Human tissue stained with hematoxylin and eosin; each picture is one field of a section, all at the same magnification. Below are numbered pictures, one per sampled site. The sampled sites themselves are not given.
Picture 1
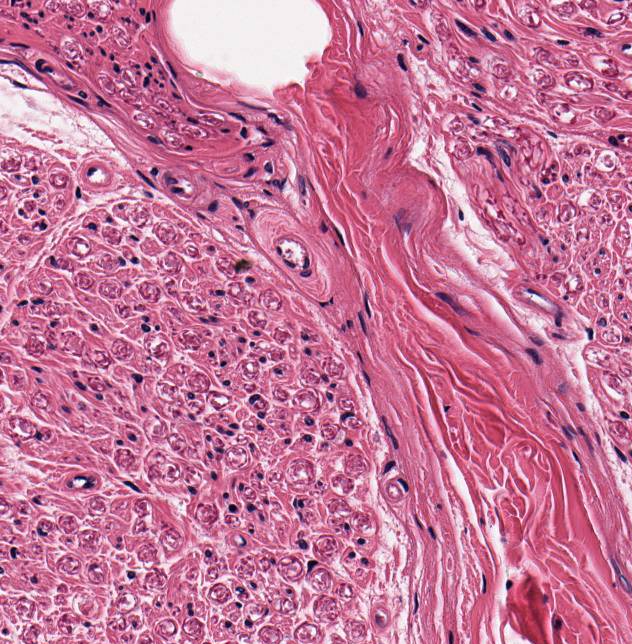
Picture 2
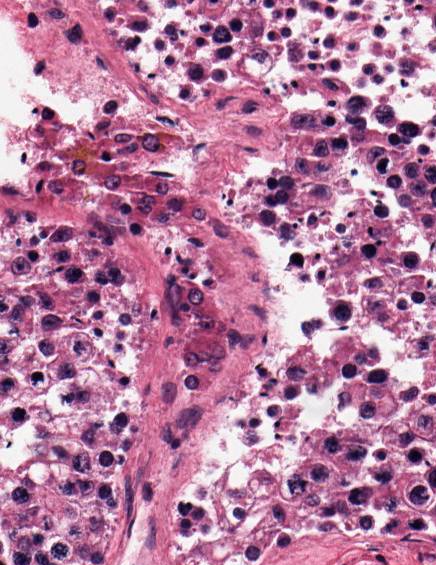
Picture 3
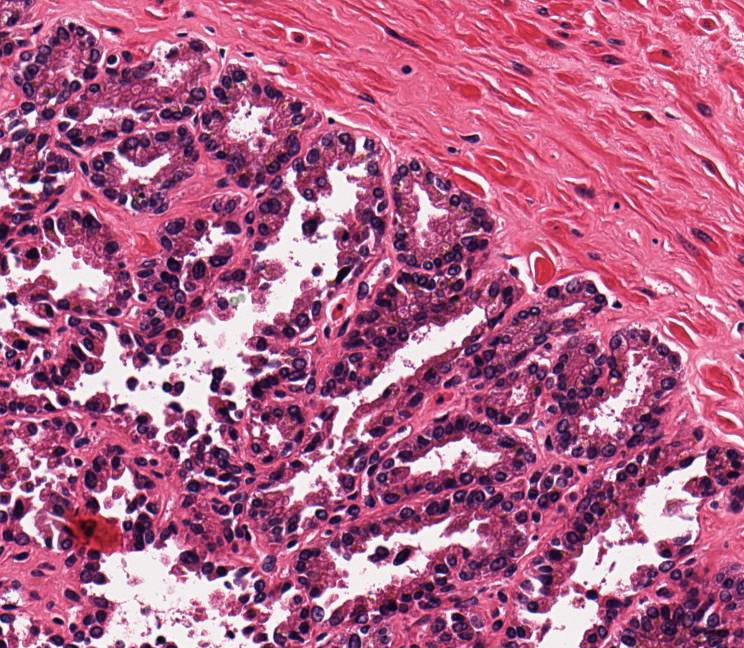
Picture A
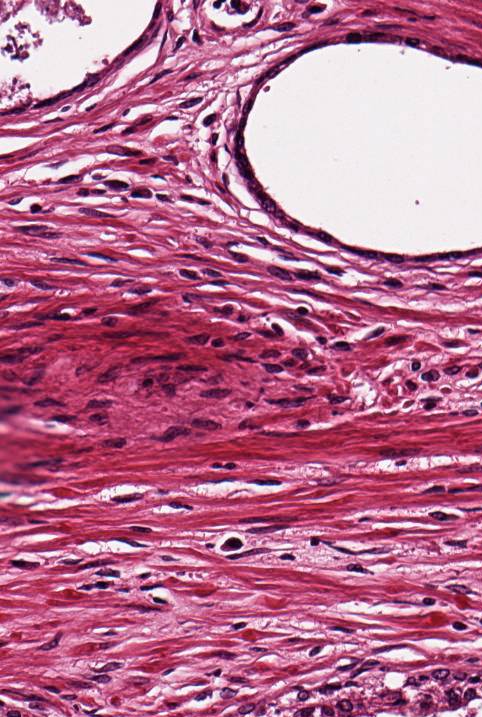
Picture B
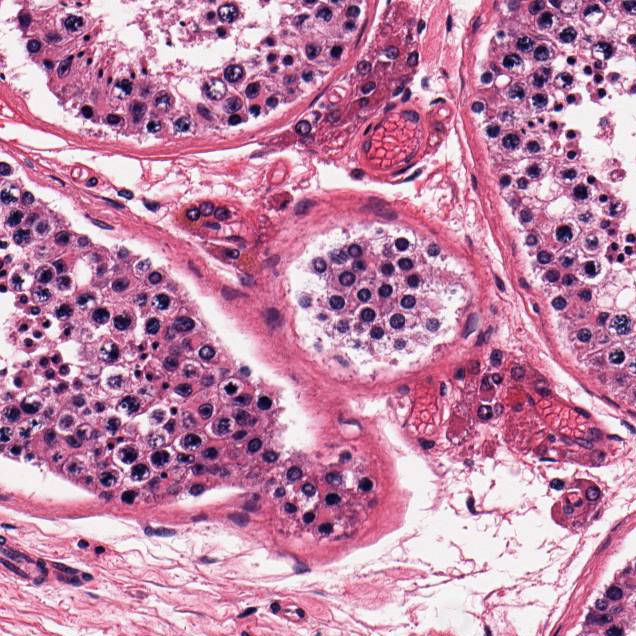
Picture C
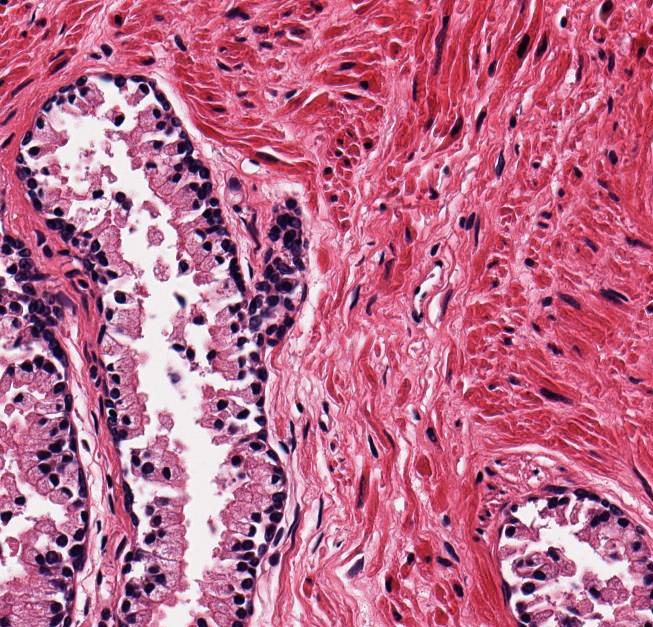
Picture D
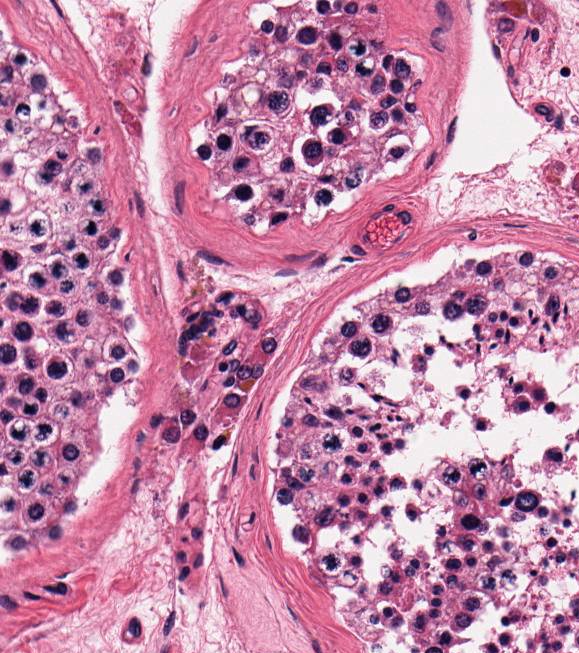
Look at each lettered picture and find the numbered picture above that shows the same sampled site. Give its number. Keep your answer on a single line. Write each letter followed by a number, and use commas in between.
A 3, B 2, C 3, D 2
